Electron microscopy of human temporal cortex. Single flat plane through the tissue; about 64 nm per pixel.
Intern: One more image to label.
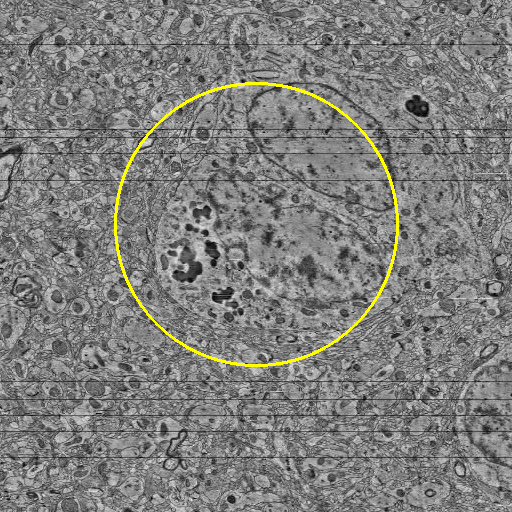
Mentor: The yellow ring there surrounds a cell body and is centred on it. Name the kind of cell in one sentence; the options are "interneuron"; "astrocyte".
The ring marks the cell body of an interneuron.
